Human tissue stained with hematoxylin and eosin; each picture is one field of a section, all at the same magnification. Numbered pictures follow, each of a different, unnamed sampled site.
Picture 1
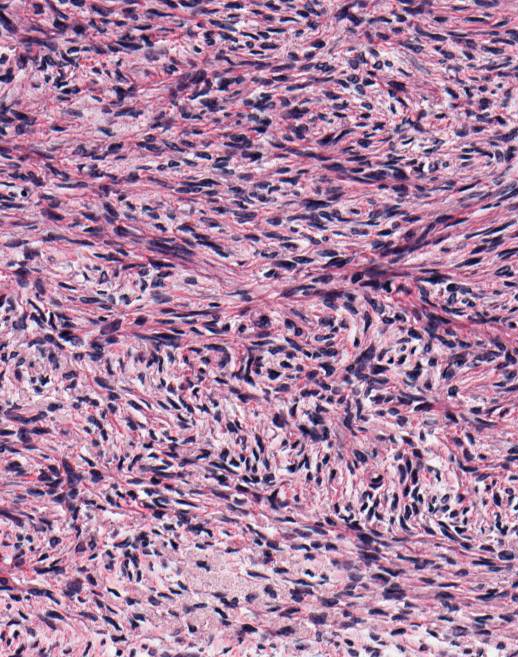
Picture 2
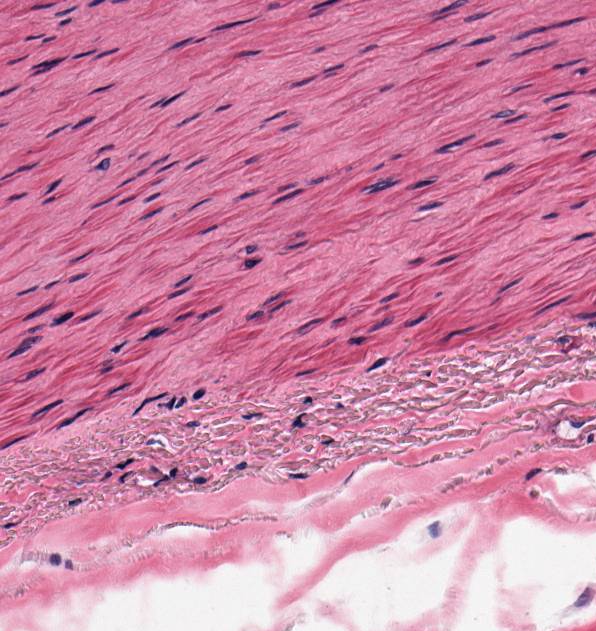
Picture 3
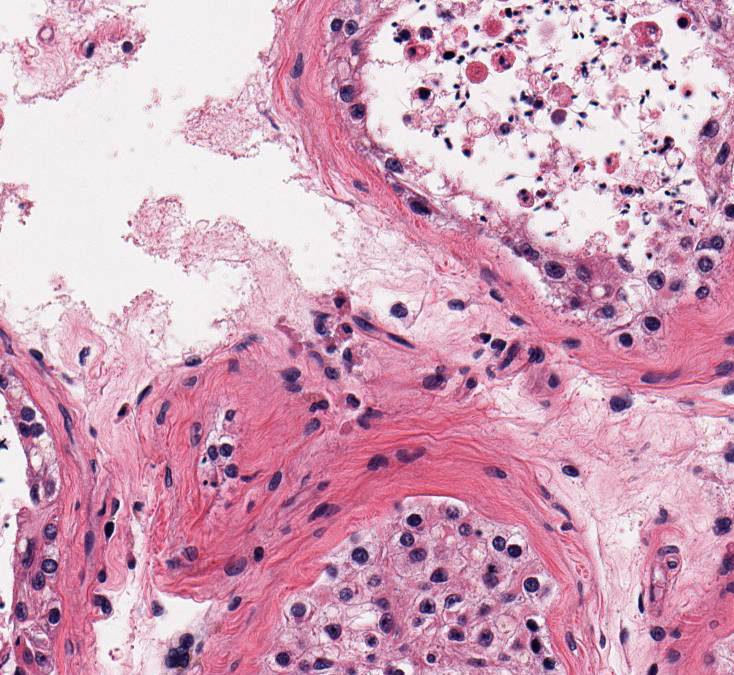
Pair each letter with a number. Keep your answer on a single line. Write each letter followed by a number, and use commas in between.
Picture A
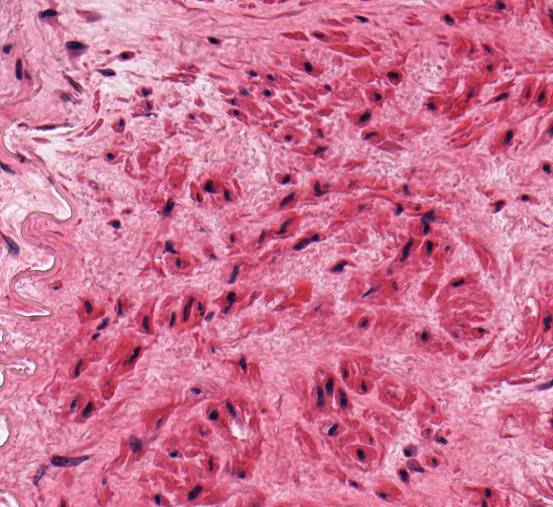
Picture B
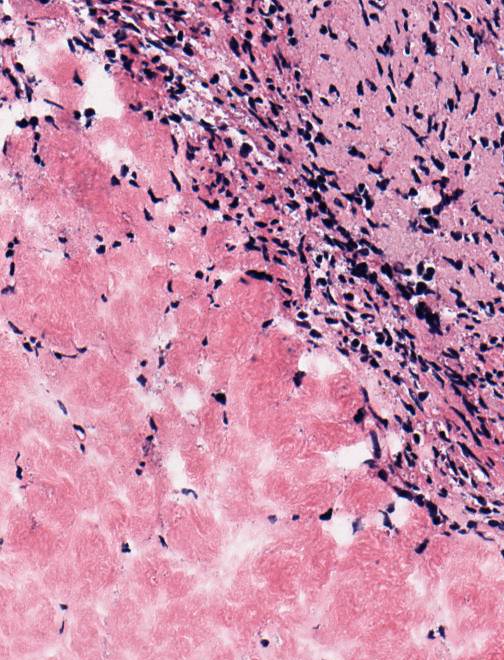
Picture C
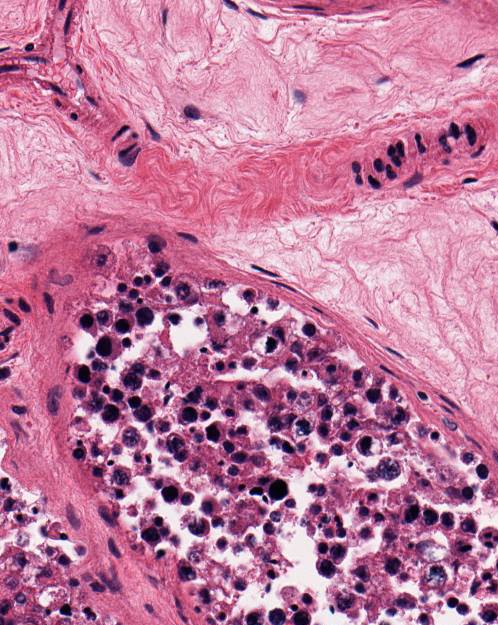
A 2, B 1, C 3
